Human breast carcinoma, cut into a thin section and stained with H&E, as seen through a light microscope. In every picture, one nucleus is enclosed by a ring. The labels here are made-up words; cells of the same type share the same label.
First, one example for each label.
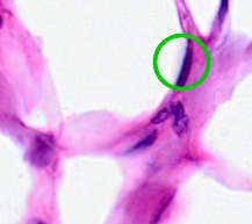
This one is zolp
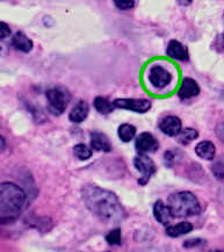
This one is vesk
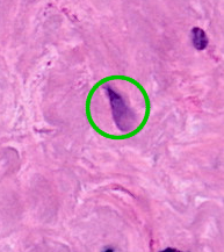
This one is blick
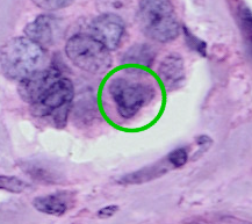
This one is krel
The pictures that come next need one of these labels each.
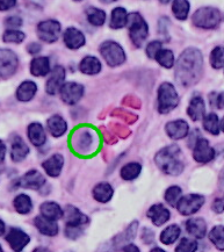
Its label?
zolp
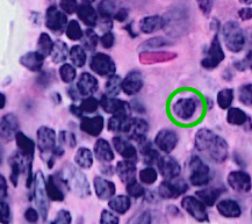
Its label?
vesk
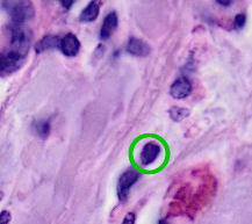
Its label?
vesk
